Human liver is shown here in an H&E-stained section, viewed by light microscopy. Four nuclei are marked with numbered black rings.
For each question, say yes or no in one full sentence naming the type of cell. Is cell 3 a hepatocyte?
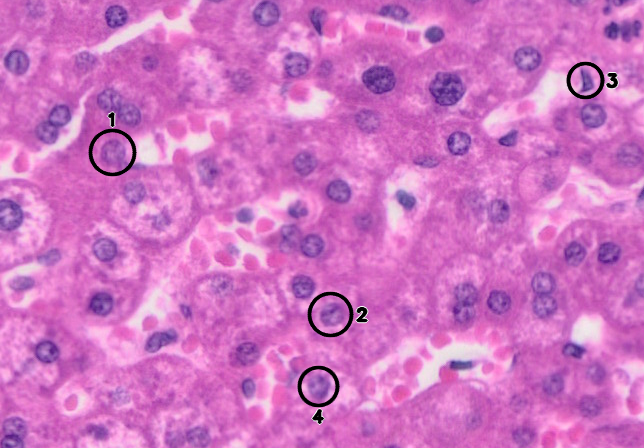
No, number 3 does not mark a hepatocyte; it marks an endothelial cell.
